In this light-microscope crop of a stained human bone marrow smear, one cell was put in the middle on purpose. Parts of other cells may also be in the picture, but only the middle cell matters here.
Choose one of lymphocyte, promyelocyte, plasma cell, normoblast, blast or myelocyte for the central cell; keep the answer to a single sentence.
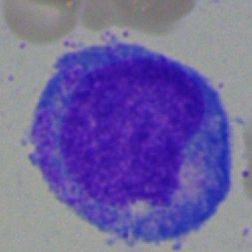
For this crop, the central cell is a promyelocyte.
